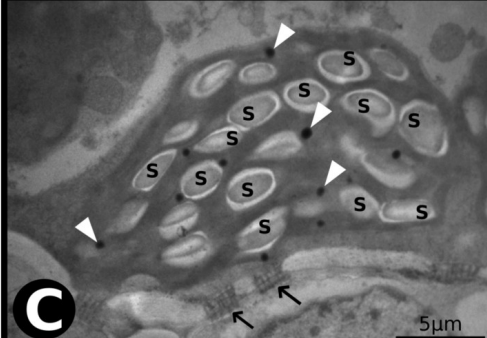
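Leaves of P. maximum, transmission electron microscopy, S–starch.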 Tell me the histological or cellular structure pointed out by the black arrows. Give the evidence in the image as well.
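Plasmodesmata. The arrows point at the cell wall below the chloroplast. There the wall is crossed by fine dark striated channels.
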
